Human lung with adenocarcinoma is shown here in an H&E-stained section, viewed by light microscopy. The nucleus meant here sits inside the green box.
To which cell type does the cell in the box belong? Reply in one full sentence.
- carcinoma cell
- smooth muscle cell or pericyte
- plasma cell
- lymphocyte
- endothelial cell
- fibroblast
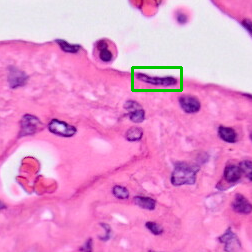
In the tissue under study, the cell in the box is an endothelial cell.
